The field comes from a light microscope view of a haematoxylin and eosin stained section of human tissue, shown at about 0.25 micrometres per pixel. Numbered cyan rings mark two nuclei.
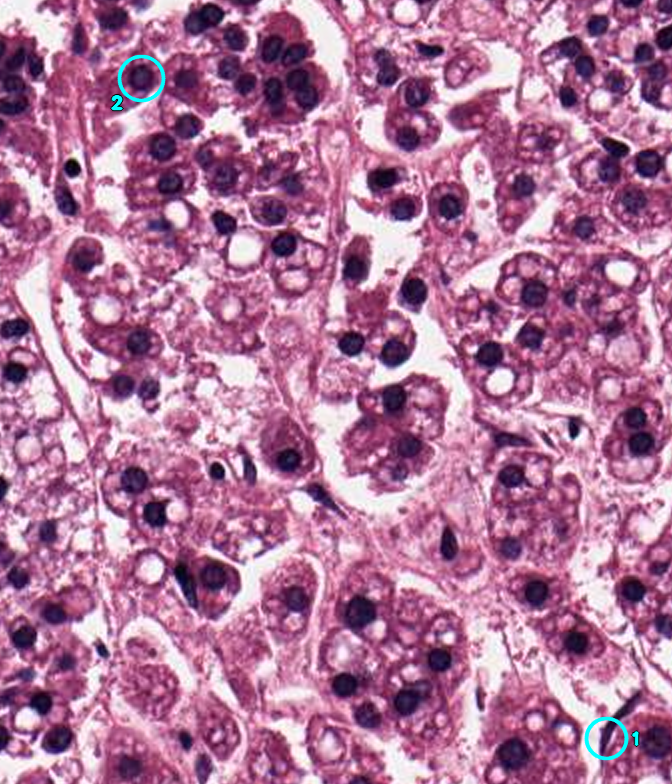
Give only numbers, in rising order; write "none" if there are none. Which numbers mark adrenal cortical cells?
2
